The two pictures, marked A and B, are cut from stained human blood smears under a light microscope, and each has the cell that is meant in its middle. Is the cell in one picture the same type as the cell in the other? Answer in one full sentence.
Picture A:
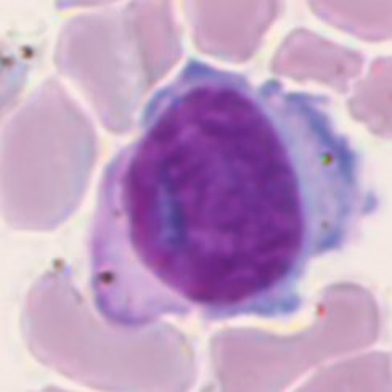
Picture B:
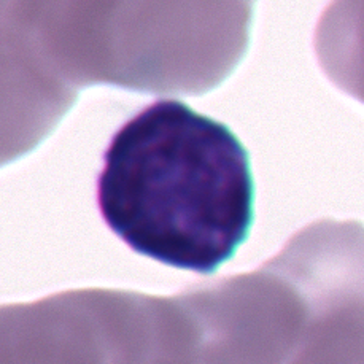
No, the types are not the same, since picture A shows a plasma cell and picture B a typical lymphocyte.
